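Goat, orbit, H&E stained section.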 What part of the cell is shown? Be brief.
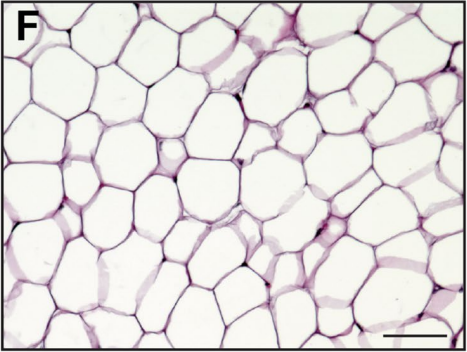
Large lipid vacuoles.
